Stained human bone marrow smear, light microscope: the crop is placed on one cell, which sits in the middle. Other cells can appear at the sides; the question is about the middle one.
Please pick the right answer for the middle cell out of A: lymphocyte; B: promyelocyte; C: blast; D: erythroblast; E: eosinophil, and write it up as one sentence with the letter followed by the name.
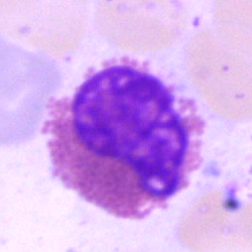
The best answer is option E, since the cell in the middle is an eosinophil.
